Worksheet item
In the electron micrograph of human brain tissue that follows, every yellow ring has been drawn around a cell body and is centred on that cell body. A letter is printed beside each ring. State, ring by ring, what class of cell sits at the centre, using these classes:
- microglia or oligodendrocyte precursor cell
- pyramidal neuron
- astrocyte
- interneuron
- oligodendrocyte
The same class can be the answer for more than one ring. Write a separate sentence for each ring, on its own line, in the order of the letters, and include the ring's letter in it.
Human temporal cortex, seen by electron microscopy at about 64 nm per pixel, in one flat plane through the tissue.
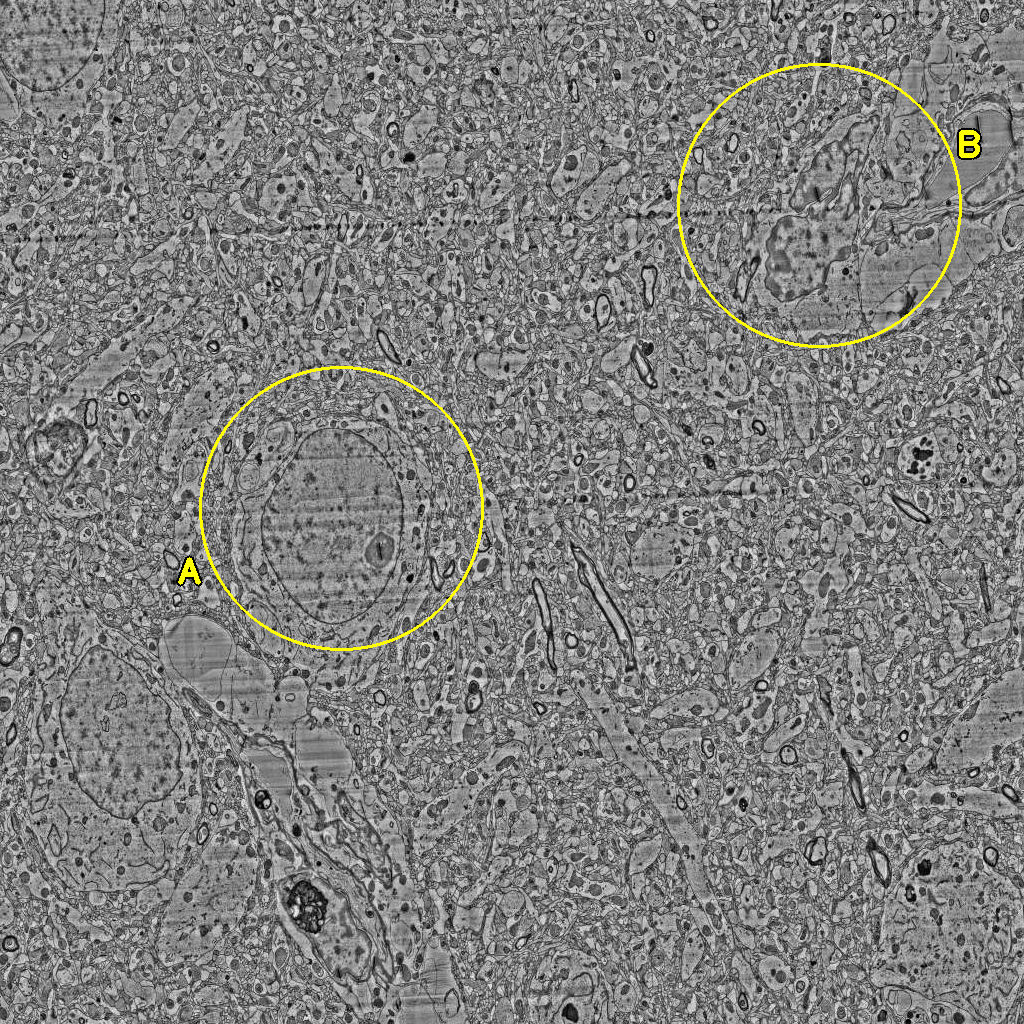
At the centre of ring A sits a pyramidal neuron.
At the centre of ring B sits a microglial cell or oligodendrocyte precursor cell.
